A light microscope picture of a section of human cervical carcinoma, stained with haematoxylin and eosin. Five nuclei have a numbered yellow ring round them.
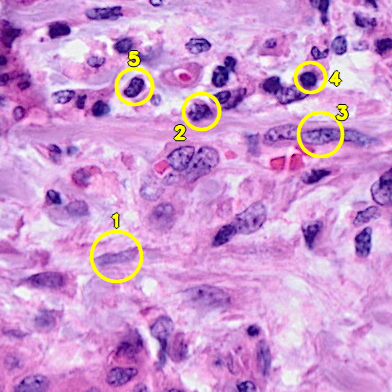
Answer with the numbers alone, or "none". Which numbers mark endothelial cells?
3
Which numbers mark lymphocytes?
2, 4, 5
